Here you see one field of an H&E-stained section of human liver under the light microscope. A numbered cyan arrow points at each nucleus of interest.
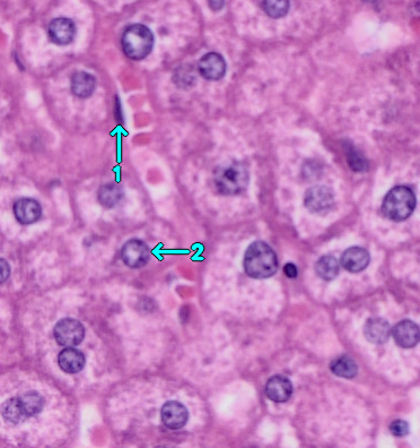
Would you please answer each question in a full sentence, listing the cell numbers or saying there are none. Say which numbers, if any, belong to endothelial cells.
Of the marked cells, the one numbered 1 is an endothelial cell and the rest are not.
